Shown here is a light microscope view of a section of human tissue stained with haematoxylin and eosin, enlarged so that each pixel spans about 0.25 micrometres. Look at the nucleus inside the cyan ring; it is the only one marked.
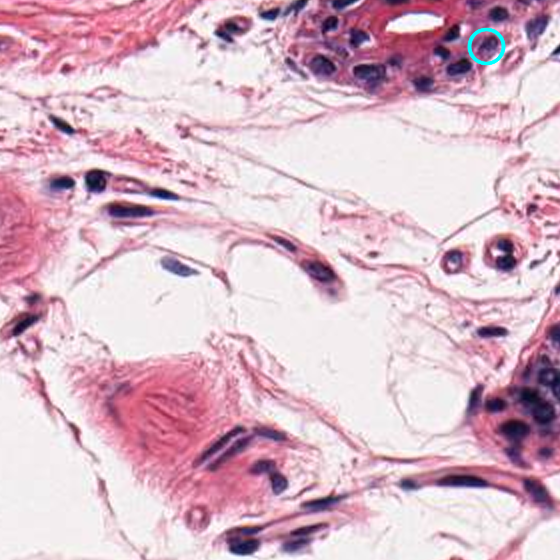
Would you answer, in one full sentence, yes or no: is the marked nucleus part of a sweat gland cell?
Yes, the marked nucleus is a nucleus of a sweat gland cell.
